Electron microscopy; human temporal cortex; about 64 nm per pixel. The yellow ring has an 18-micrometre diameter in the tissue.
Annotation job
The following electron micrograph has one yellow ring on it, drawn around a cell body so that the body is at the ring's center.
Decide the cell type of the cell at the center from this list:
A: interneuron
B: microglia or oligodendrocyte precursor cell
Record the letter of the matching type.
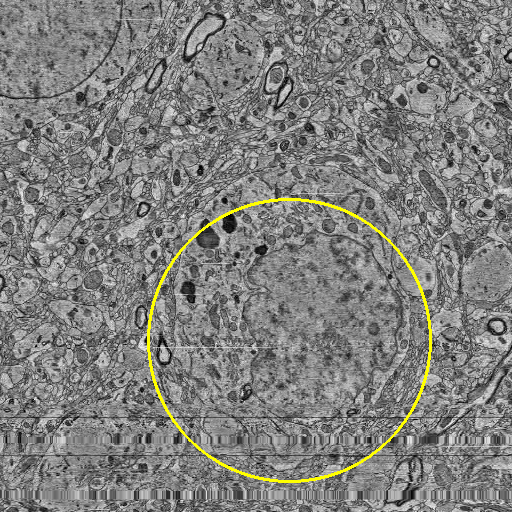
A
